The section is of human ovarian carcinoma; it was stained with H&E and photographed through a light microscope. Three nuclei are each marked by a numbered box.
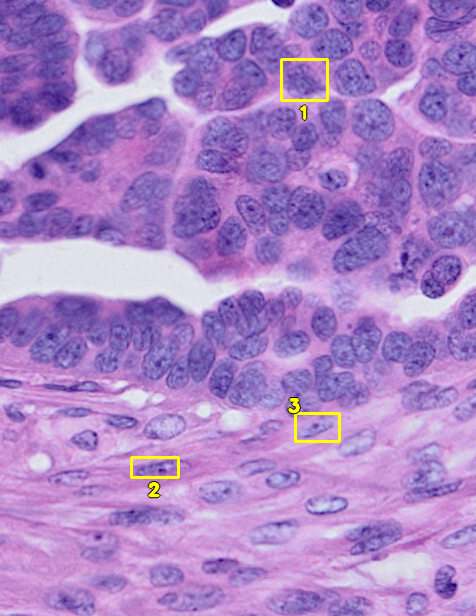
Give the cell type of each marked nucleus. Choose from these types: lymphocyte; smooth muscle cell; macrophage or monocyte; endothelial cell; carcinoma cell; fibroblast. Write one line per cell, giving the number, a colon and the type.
1: carcinoma cell
2: fibroblast
3: fibroblast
